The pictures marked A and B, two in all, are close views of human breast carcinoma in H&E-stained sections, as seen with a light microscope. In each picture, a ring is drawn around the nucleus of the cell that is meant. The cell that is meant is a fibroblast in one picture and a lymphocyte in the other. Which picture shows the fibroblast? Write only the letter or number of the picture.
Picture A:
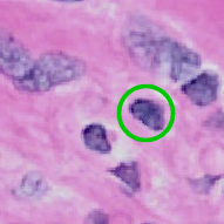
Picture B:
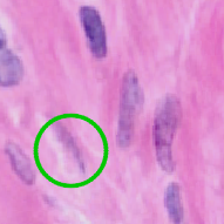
B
